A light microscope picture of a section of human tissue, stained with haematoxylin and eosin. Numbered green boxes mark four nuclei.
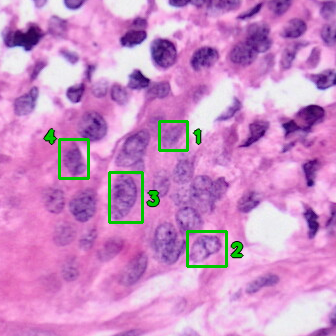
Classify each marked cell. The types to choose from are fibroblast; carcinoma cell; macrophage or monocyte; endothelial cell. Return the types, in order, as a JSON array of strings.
["carcinoma cell", "macrophage or monocyte", "carcinoma cell", "carcinoma cell"]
